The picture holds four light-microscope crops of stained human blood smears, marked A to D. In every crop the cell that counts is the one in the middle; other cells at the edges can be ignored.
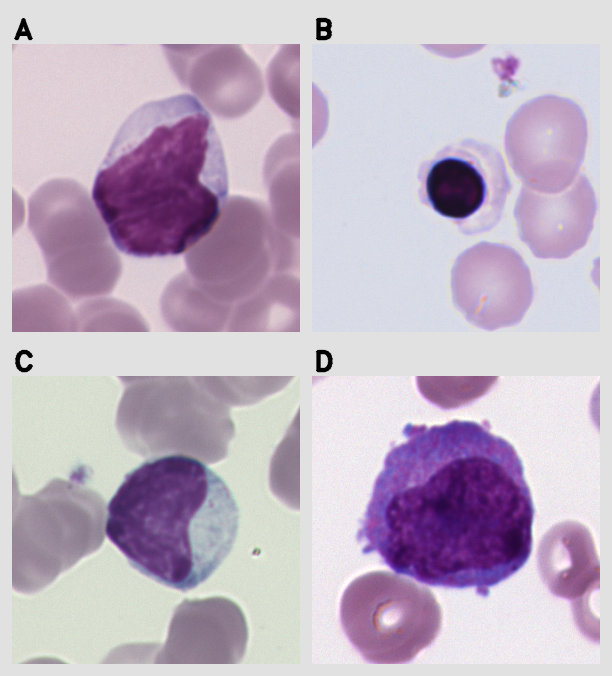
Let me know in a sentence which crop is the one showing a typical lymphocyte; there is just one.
Crop C represents a typical lymphocyte, while the other crops do not.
